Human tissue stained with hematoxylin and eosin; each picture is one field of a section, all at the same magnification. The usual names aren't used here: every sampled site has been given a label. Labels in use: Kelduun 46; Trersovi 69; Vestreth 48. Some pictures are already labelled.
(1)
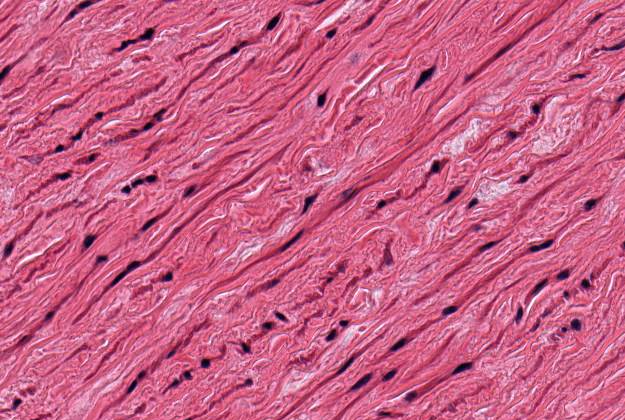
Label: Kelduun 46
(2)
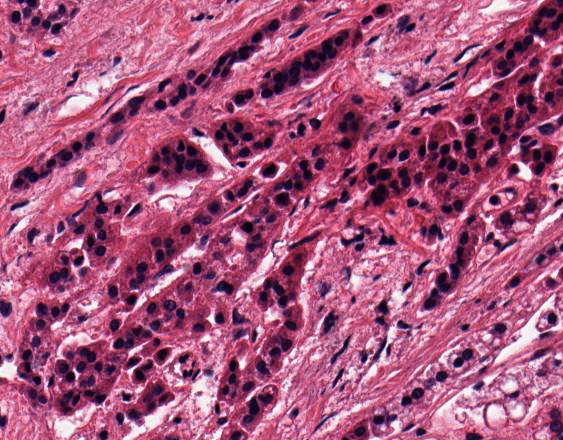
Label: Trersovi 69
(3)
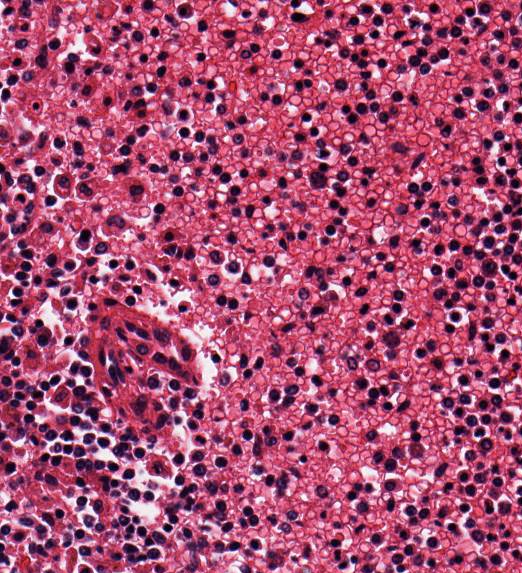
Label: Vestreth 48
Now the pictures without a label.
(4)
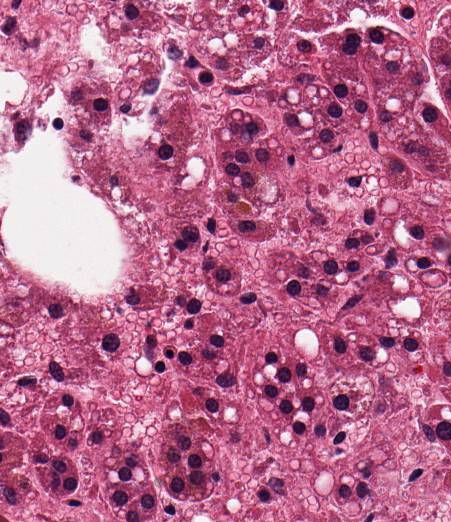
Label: Trersovi 69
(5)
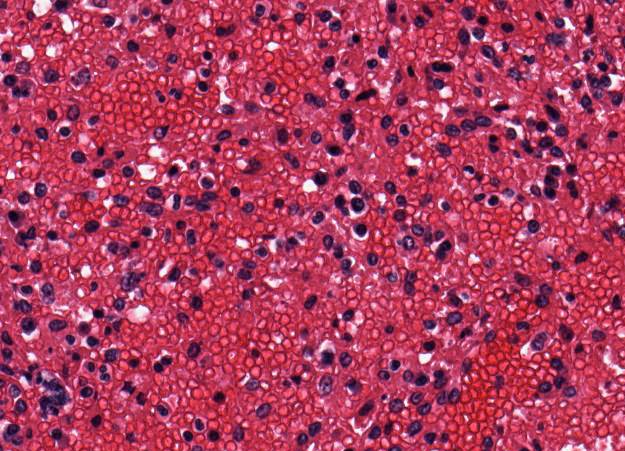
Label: Vestreth 48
